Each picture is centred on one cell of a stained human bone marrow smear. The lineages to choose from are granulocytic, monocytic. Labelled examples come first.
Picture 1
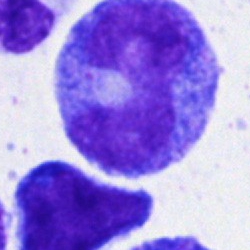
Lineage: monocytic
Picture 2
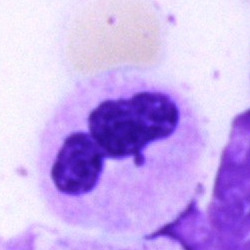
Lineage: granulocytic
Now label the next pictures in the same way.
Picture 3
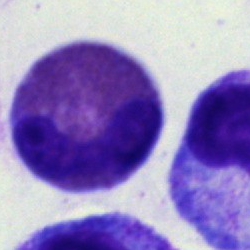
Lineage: granulocytic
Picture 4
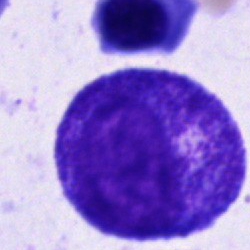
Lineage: granulocytic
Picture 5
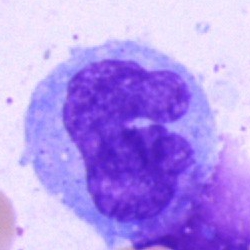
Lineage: monocytic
